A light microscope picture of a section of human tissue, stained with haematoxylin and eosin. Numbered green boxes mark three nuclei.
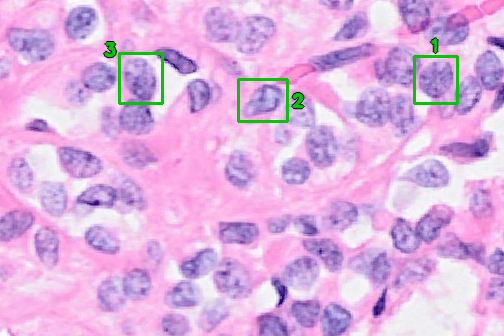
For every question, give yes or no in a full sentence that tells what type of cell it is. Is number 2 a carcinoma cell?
No, the nucleus numbered 2 belongs to an endothelial cell, not a carcinoma cell.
